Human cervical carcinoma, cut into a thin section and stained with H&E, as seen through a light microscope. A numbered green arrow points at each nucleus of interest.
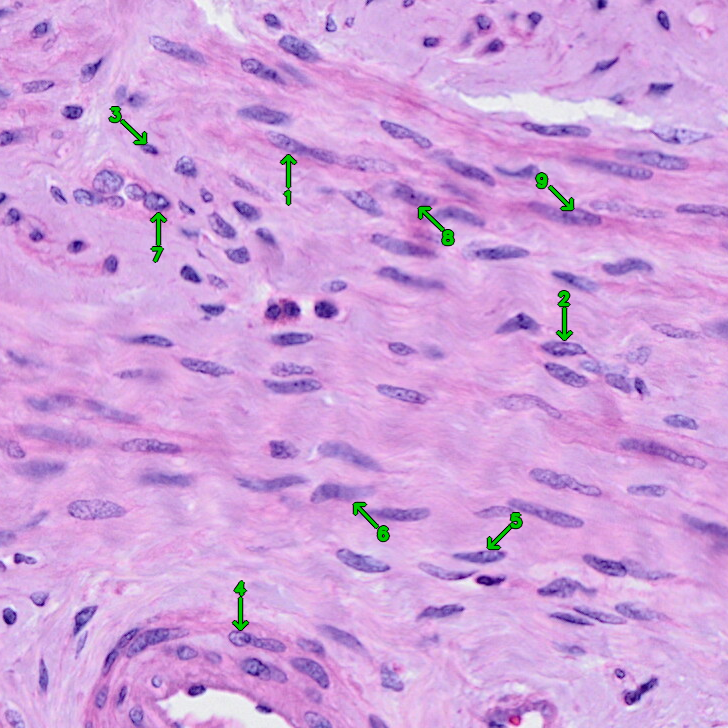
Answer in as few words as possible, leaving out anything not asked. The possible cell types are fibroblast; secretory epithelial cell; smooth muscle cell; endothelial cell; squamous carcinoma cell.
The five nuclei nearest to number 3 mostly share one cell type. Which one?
endothelial cell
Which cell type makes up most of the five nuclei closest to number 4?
smooth muscle cell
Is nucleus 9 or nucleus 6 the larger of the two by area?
6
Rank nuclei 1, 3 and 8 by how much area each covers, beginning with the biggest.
8, 1, 3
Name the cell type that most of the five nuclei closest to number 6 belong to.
fibroblast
